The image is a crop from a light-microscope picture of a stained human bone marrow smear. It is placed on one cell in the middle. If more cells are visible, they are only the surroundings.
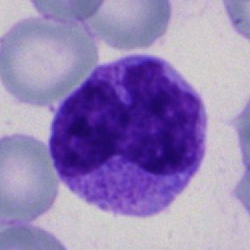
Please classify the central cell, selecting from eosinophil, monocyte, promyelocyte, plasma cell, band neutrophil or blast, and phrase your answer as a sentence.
Where the crop is centred, there is a monocyte.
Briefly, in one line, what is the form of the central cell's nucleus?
In this cell the nucleus is a solitary compact mass, round, oval or kidney-shaped.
